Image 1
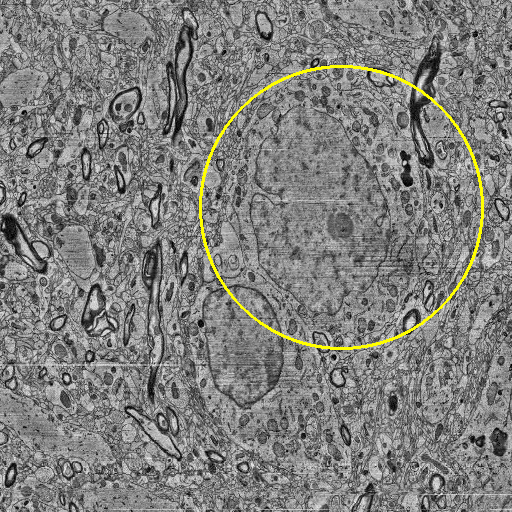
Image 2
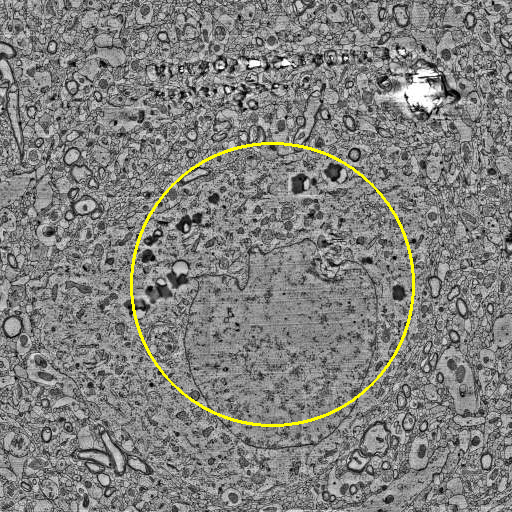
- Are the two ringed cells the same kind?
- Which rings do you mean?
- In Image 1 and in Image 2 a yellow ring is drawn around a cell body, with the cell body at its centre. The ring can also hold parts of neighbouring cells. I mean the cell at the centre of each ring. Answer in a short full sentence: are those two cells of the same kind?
No, the cells are of two kinds.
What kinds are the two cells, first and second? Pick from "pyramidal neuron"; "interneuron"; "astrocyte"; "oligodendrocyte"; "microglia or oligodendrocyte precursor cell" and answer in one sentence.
The second picture holds a pyramidal neuron in its ring, and the first holds an interneuron.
